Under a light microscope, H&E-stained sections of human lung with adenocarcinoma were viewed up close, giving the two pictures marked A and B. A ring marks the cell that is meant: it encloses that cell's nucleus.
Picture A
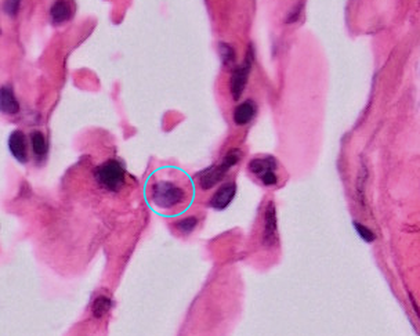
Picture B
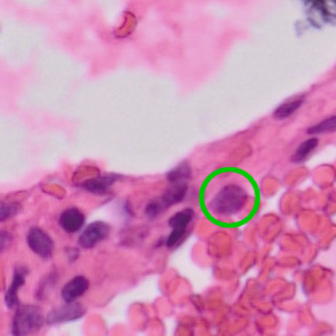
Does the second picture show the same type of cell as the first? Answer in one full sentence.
Yes, they are the same type: both are type I pneumocytes.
